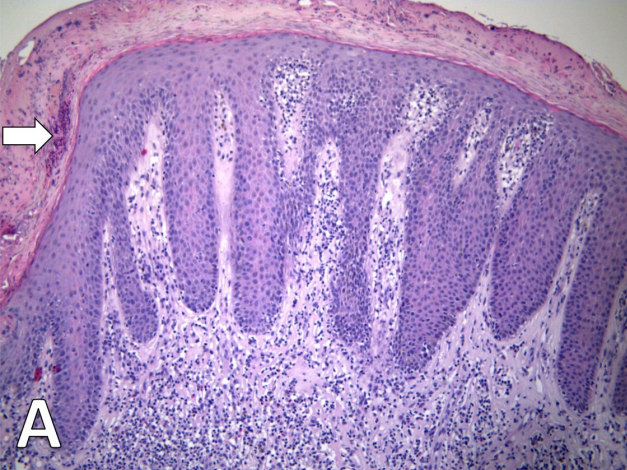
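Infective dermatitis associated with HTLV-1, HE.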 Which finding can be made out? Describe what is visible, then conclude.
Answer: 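The epidermis is markedly thickened. Rete ridges are elongated, regular and club-shaped, reaching down into the dermis. That points to this answer: Psoriasiform acanthosis.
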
